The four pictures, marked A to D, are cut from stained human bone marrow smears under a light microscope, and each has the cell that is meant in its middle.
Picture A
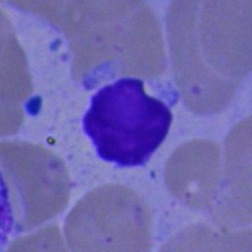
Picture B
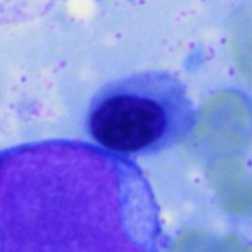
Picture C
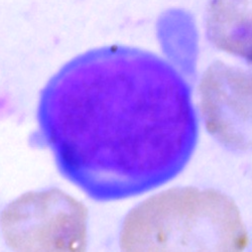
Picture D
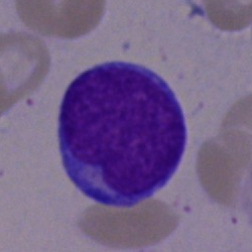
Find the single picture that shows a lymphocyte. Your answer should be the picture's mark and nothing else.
A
